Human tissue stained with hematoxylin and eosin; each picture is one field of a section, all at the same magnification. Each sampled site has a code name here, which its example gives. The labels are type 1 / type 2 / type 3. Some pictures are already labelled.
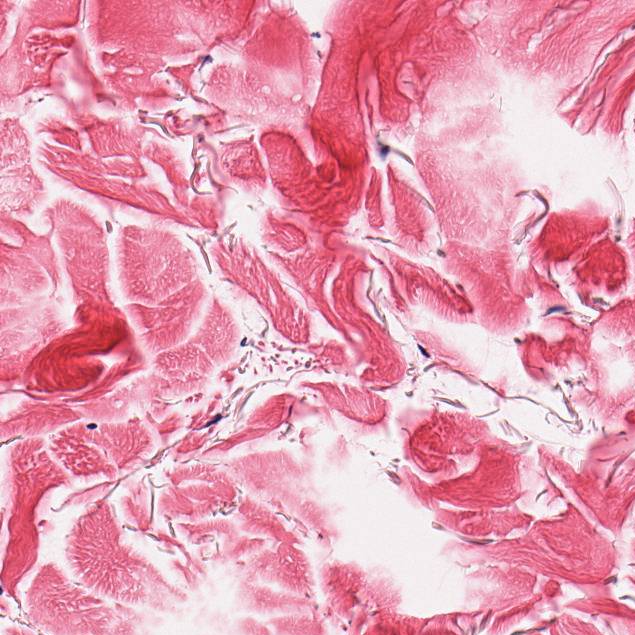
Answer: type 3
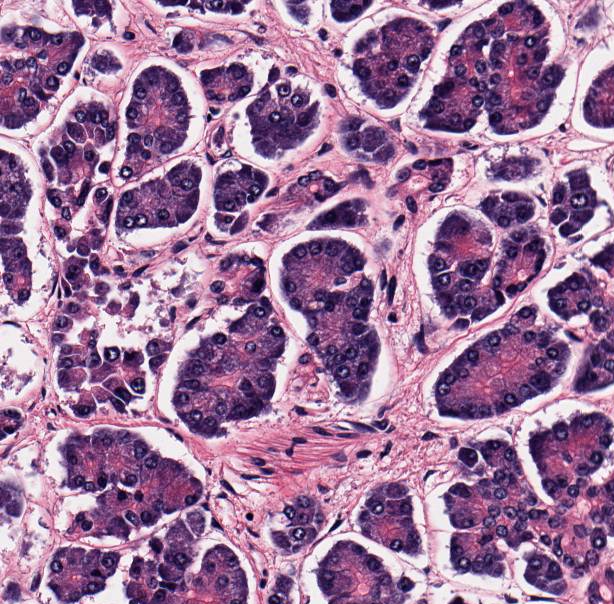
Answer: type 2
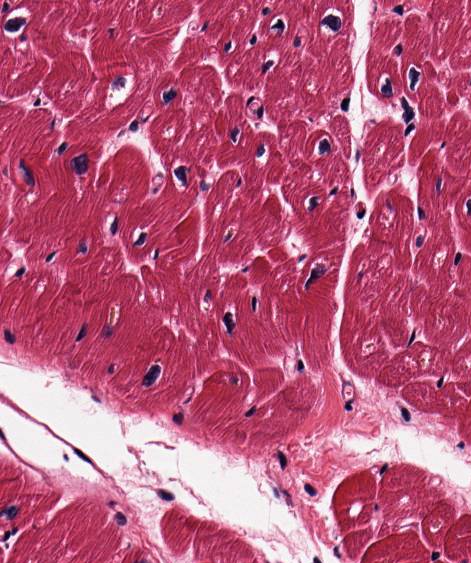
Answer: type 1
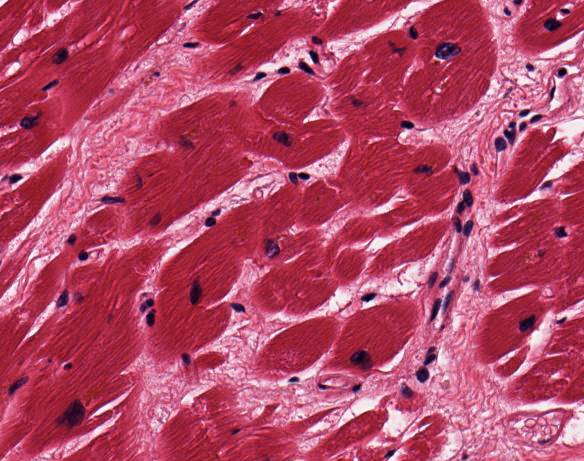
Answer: type 1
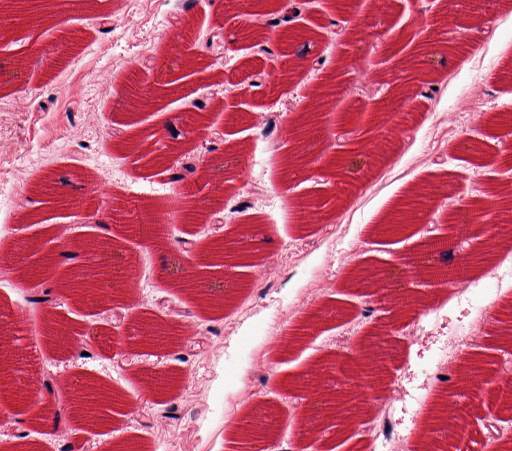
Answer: type 1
